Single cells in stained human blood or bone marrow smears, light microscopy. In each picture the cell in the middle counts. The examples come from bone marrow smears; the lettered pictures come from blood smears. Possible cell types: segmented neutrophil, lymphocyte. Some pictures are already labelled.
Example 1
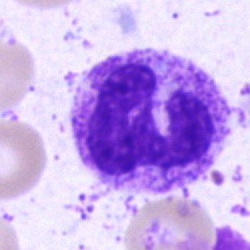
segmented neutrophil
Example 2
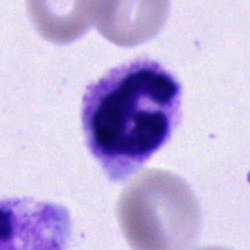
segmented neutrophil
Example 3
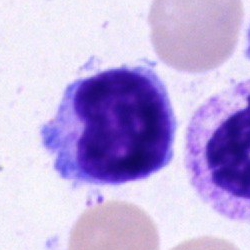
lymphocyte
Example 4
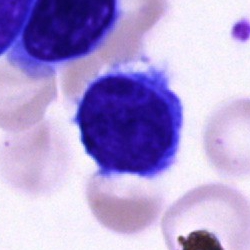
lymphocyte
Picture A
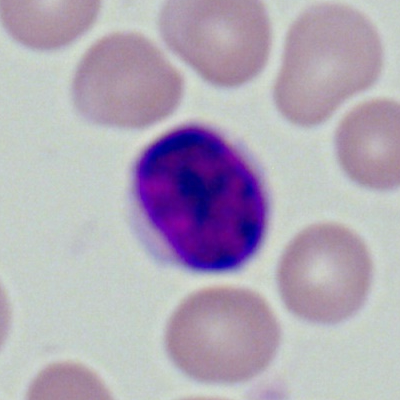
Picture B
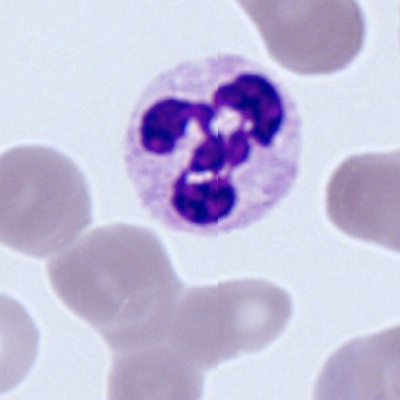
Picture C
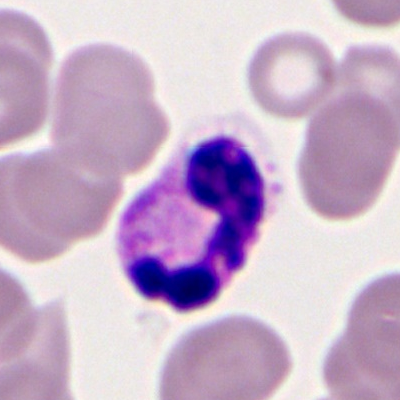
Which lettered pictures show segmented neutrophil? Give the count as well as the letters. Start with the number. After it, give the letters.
2: B, C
